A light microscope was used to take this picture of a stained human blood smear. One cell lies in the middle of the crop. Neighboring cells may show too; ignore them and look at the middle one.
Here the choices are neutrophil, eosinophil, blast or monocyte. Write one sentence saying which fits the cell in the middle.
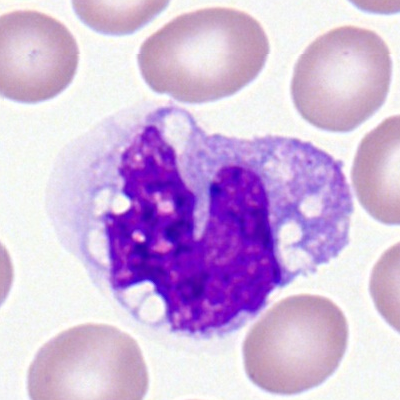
This particular crop is centered on a monocyte.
